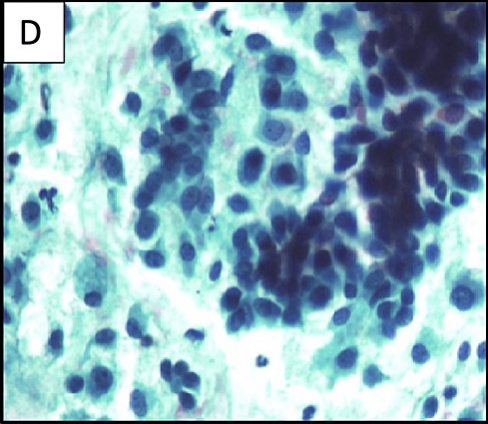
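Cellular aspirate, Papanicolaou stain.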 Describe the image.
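The nuclei are round to oval, dark blue, and much alike in size and shape, with fine, evenly spread chromatin and in some a small nucleolus. In the upper right and centre the cells crowd and overlap into dense, dark clusters, while towards the left and lower edge they lie loosely, one by one. No marked variation in nuclear size is seen across the field.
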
